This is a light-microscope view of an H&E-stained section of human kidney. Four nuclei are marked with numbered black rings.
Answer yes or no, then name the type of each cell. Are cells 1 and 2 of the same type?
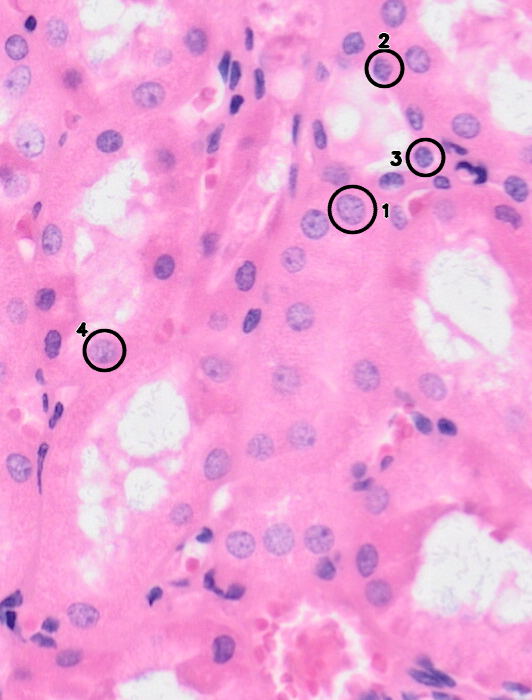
No, cell 1 is a proximal tubule cell, while cell 2 is a loop of Henle or distal tubule cell.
